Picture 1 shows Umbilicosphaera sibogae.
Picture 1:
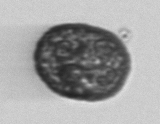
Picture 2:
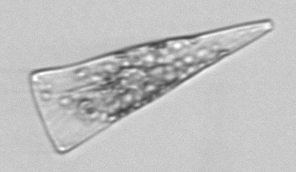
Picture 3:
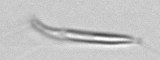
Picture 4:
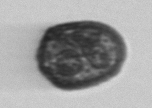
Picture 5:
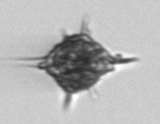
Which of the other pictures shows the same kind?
Picture 4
